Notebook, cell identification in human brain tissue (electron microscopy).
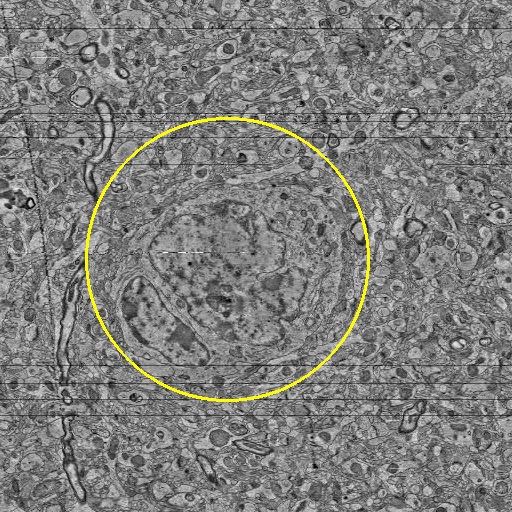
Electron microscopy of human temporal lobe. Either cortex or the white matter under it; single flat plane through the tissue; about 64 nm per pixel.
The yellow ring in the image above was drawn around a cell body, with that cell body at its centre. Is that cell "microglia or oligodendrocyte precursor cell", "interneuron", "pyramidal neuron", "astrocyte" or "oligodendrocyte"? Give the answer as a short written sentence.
The cell in the ring is an interneuron.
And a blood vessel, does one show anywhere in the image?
No.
